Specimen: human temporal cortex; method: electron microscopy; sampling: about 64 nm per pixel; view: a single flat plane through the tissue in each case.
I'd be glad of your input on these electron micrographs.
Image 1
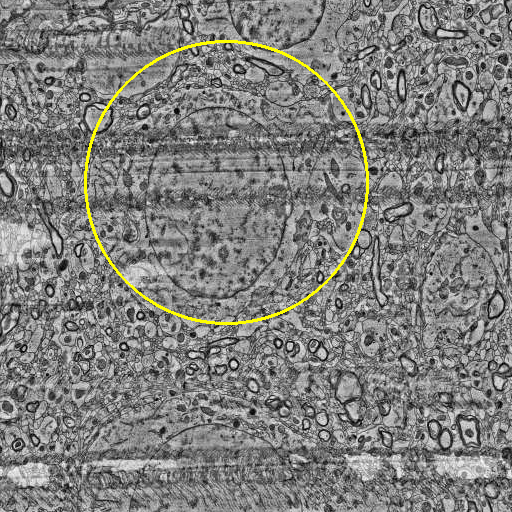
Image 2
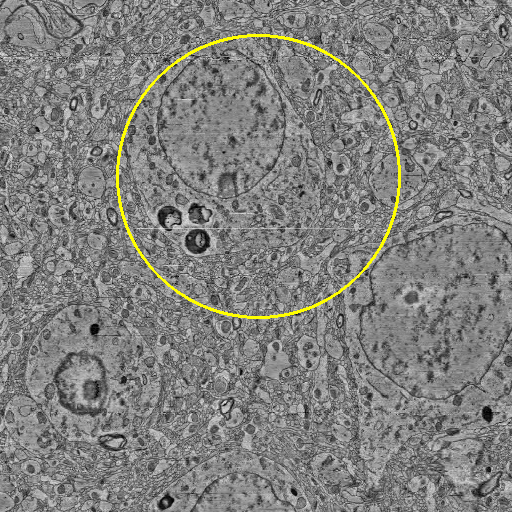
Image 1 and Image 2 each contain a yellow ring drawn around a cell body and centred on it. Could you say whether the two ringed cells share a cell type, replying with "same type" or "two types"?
same type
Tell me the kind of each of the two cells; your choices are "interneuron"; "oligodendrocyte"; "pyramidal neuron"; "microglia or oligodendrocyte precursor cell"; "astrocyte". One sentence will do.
In each of the two pictures, the ringed cell is a pyramidal neuron.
